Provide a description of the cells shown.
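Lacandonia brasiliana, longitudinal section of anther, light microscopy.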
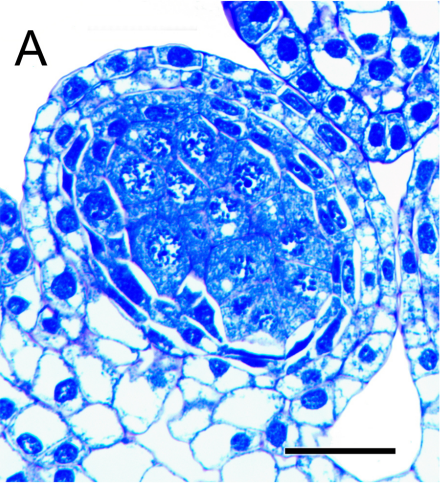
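The central mass consists of large polygonal cells packed closely, each with a big rounded nucleus and dense blue-staining cytoplasm. Around it lie several concentric layers of flattened, narrow cells, the innermost thin and compressed against the central mass. The outermost layer is of small cuboidal cells with dark nuclei.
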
